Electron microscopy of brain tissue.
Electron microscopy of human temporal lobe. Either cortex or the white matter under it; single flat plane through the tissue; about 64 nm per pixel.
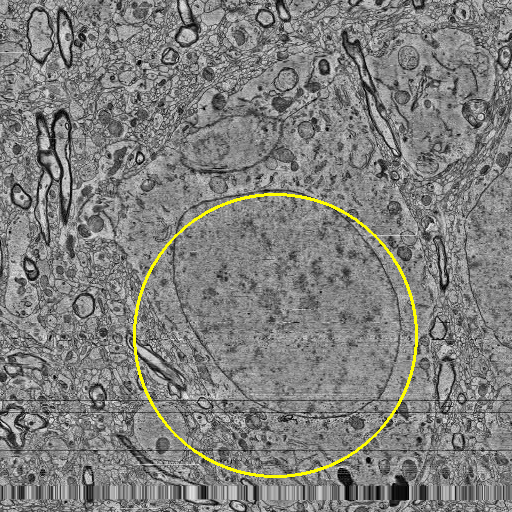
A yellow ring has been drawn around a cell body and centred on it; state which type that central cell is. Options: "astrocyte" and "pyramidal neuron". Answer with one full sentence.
The cell at the middle of the yellow ring is a pyramidal neuron in this picture.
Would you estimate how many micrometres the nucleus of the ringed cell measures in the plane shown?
In this plane, the nucleus is roughly 17 by 13 micrometres.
